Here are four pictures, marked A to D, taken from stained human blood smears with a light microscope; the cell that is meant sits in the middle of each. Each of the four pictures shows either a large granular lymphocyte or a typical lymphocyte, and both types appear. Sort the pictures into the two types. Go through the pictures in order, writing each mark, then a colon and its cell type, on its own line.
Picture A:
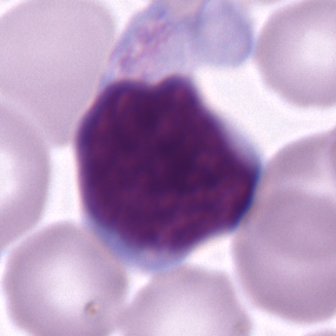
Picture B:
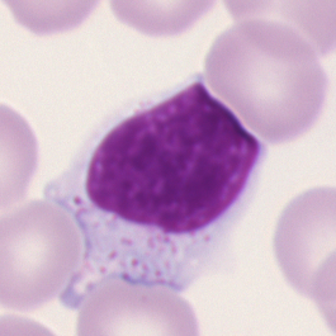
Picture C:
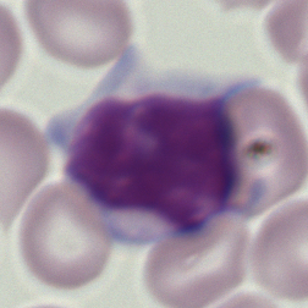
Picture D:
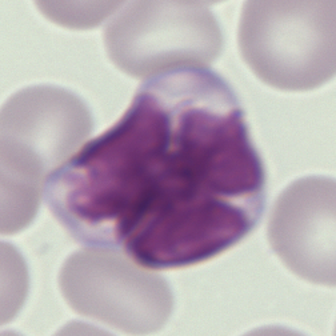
A: large granular lymphocyte
B: large granular lymphocyte
C: typical lymphocyte
D: large granular lymphocyte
